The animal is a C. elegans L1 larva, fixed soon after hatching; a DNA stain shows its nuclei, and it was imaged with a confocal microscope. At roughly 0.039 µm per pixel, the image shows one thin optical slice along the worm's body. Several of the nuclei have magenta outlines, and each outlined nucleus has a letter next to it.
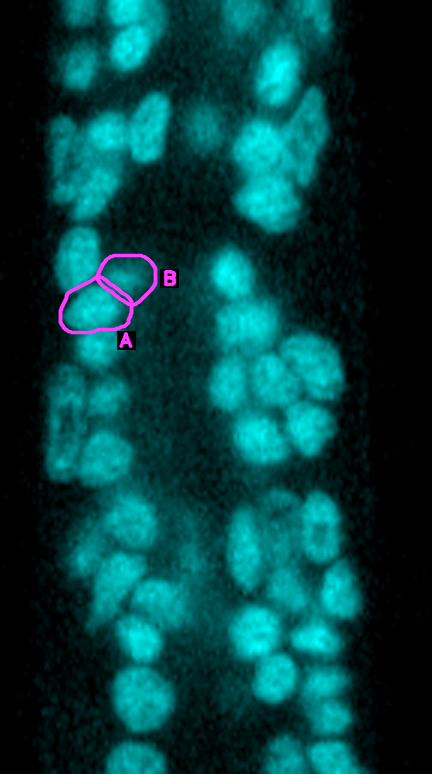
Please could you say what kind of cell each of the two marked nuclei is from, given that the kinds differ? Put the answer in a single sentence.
A is from a neuron, and B is from a GLR cell.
